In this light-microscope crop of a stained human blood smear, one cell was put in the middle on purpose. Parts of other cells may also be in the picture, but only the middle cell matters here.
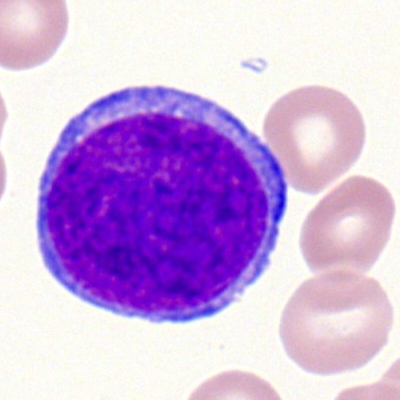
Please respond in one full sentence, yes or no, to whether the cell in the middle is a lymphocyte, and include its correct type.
No, what the centre of the crop shows is a myeloblast, not a lymphocyte.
